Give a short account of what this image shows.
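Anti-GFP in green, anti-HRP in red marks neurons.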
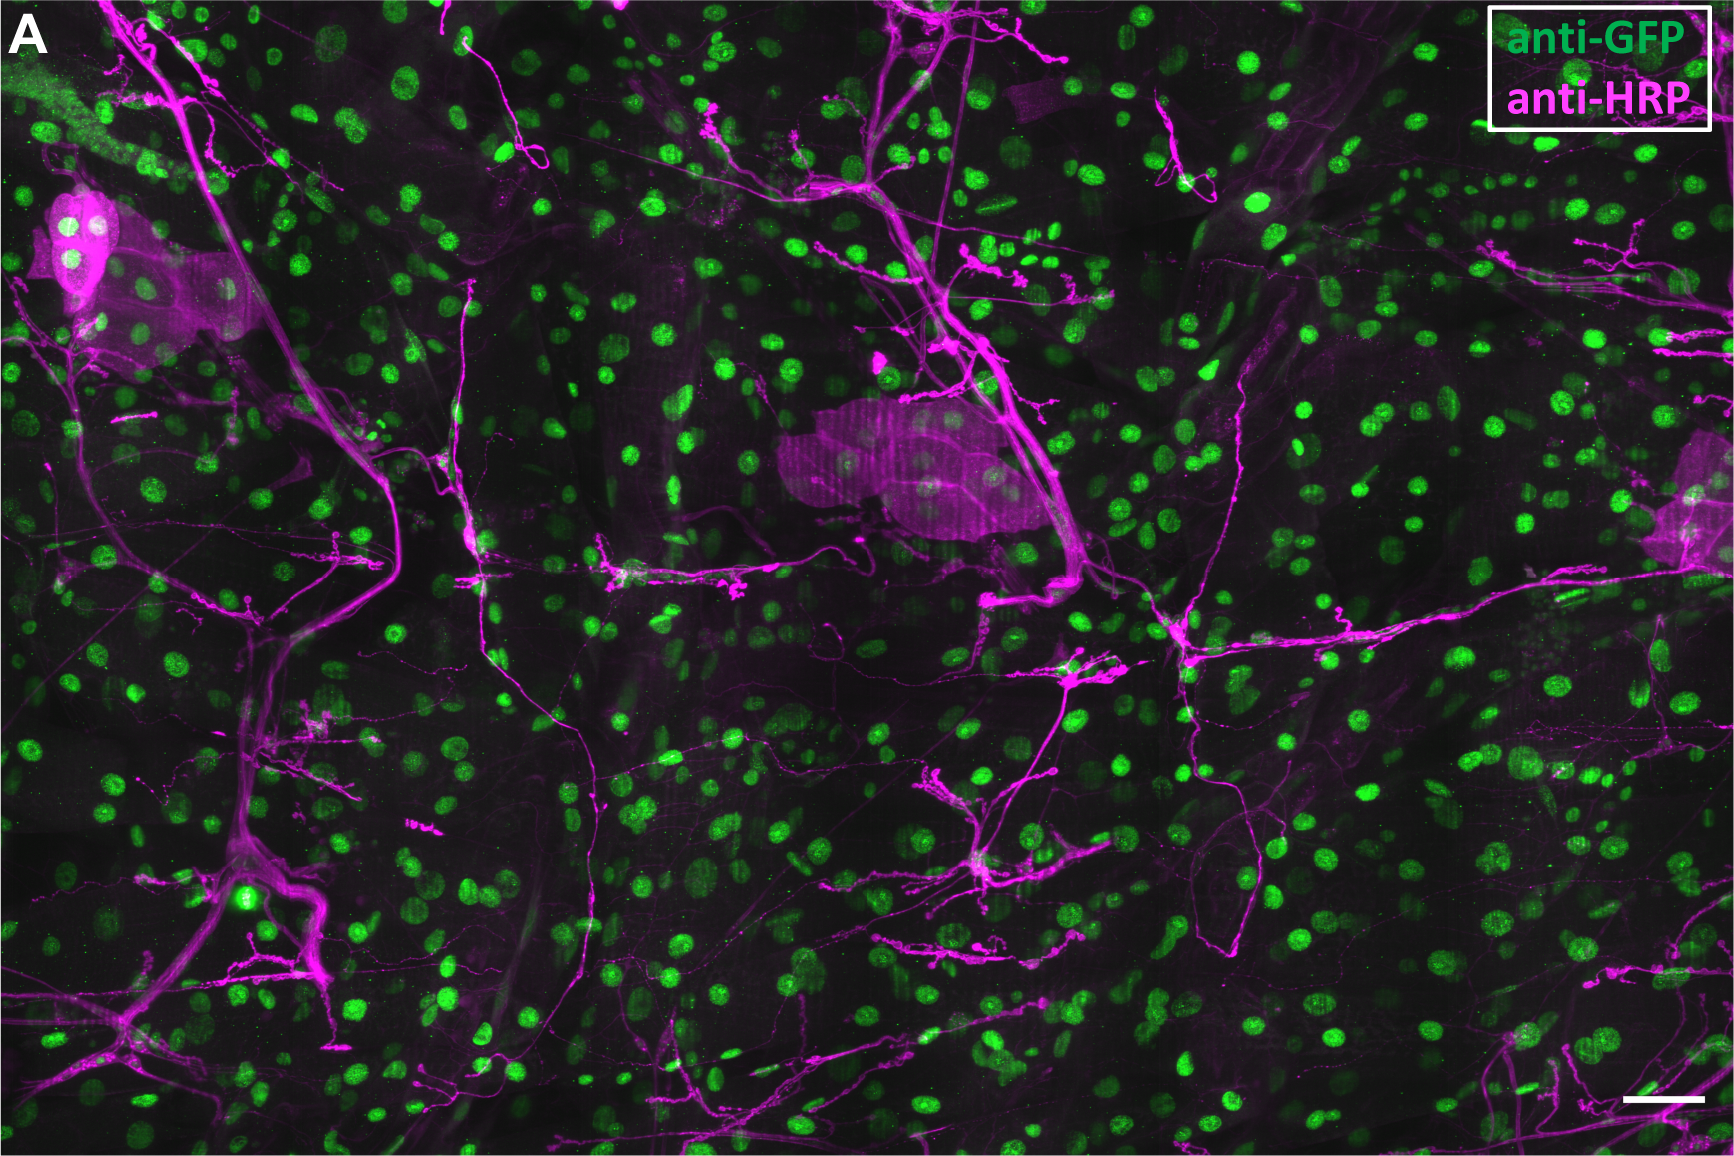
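This low-magnification view of the larval body wall shows a dense, even scatter of green nuclei belonging to the many cells of the tissue, crossed by a network of magenta nerve fibres. The nuclei are round to oval and vary somewhat in size, with a finely speckled interior. Thick magenta bundles run across the field and split into thinner branches that end in small beaded swellings. Several broad, faintly magenta patches with a striated look lie among the fibres.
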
